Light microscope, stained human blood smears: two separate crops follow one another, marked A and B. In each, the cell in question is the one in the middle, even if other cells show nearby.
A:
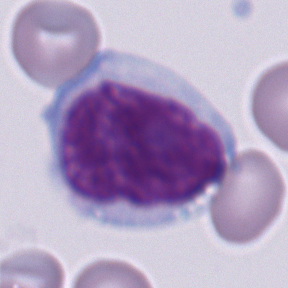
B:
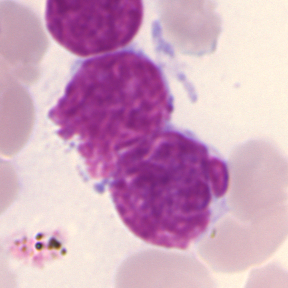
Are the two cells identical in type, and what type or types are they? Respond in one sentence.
Yes, both crops show myeloblasts in their central position.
